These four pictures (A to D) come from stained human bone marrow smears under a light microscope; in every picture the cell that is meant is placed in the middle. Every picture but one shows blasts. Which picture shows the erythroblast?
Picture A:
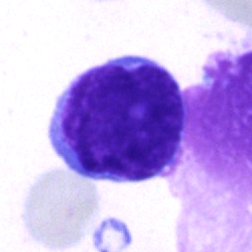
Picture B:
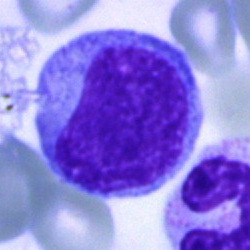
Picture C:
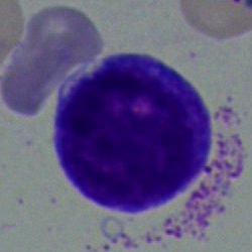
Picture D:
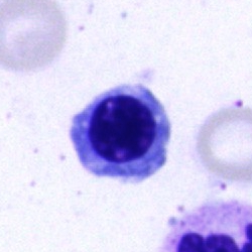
D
